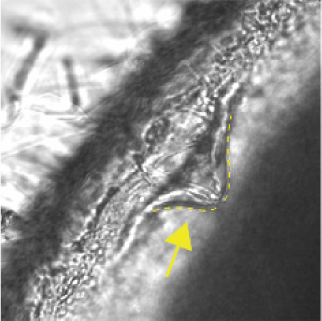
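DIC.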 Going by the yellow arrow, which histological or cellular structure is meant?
micropyle opening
